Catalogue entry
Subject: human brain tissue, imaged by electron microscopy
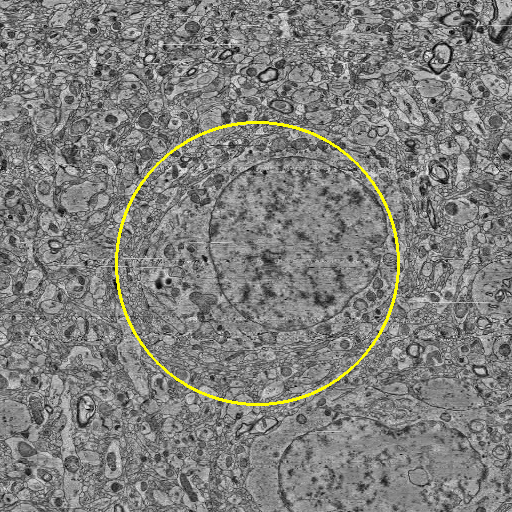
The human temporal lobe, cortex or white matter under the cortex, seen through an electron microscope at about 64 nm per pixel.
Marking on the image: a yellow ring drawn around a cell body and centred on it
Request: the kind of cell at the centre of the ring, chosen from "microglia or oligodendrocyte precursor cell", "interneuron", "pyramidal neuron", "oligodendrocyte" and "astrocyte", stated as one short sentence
The ring has an interneuron at its centre.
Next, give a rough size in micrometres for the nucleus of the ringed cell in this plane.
The nucleus of the ringed cell is approximately 11 micrometres across in this plane.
